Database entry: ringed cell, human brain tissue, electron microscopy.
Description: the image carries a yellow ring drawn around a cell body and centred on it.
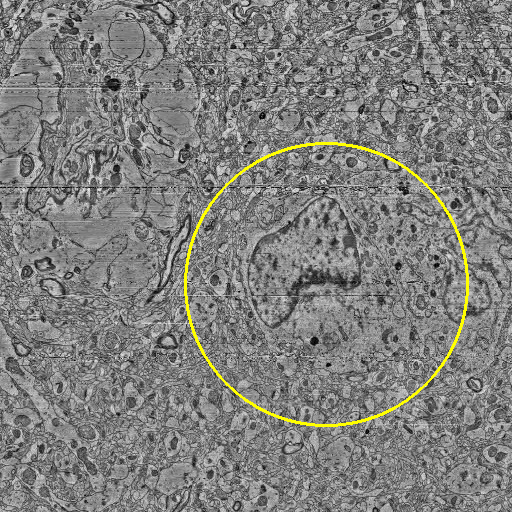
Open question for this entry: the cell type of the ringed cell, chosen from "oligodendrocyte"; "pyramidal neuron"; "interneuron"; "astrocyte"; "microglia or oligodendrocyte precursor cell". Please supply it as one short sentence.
The ringed cell is a microglial cell or oligodendrocyte precursor cell.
